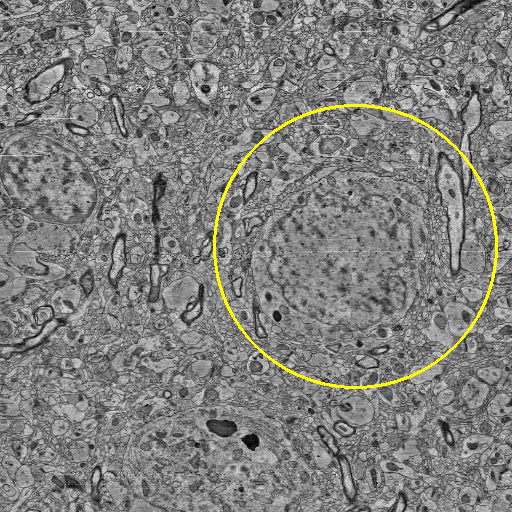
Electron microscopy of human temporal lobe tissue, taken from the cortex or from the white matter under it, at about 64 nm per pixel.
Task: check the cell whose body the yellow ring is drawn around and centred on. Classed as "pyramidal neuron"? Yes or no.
No, it belongs to another class.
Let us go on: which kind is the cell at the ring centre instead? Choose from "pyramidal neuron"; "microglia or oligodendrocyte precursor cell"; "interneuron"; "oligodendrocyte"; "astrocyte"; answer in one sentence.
In this picture, the ring is centred on an interneuron.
